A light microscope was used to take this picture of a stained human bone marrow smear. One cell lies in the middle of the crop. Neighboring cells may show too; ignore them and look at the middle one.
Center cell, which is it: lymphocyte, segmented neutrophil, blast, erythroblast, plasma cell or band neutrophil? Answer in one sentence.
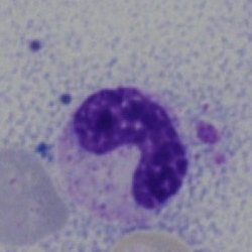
The crop shows a band neutrophil in its centre.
